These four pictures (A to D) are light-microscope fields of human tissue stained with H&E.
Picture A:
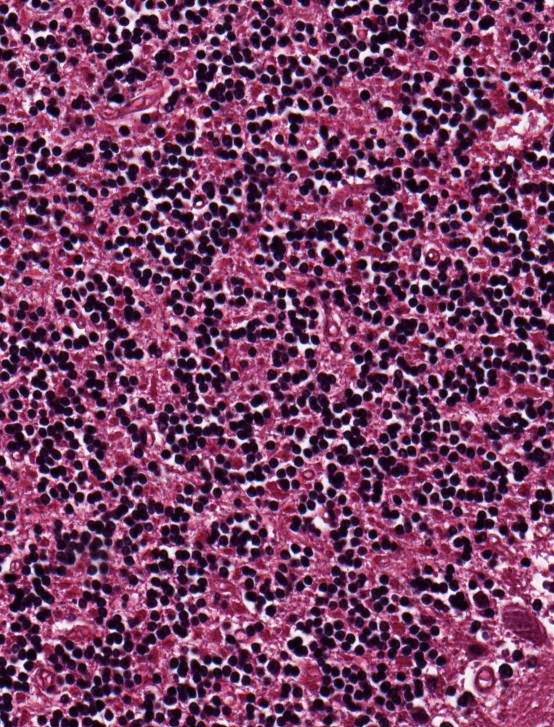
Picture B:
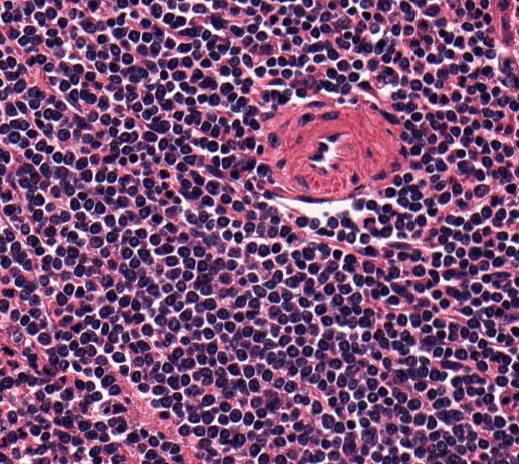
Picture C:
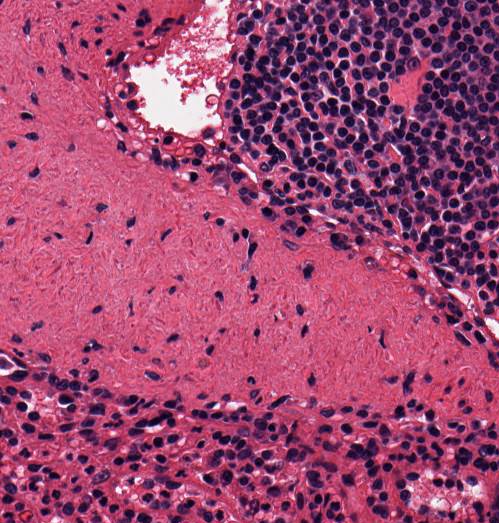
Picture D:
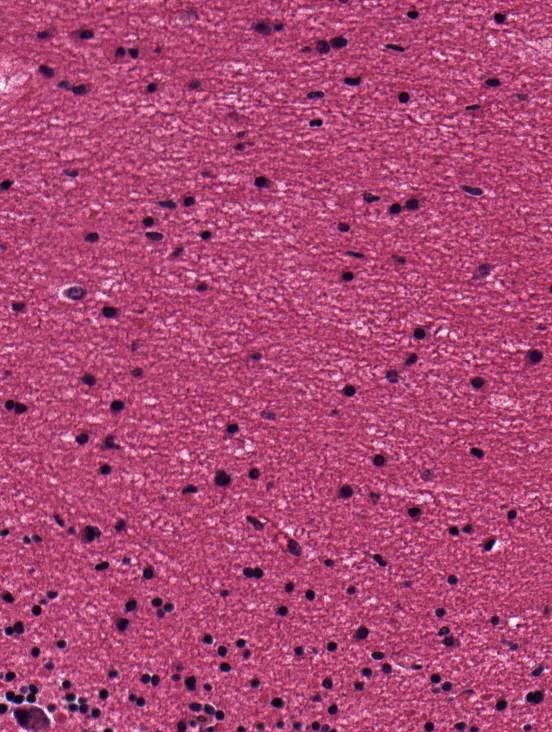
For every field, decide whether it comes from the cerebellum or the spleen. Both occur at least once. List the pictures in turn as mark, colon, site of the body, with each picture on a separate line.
A: cerebellum
B: spleen
C: spleen
D: cerebellum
